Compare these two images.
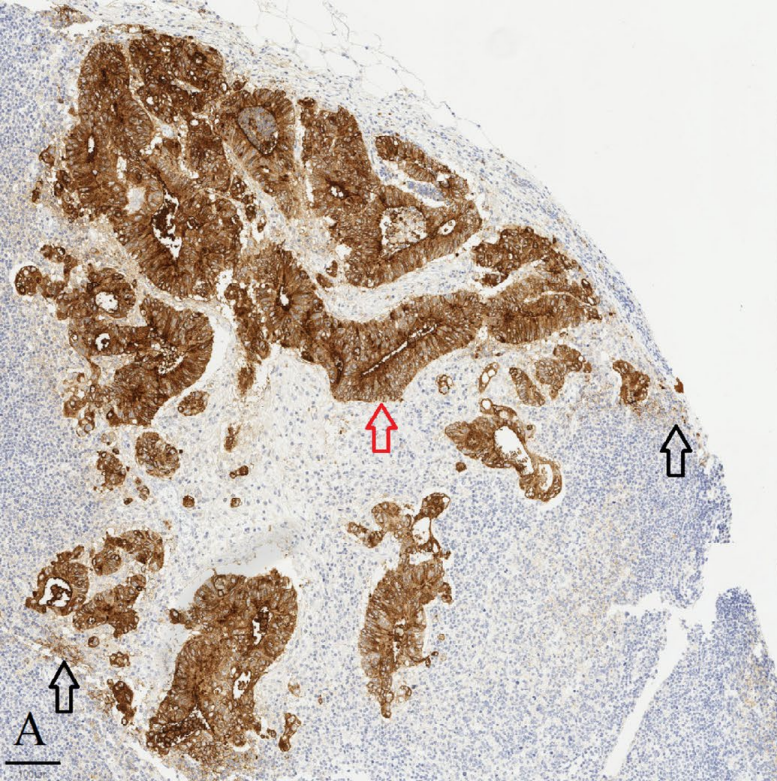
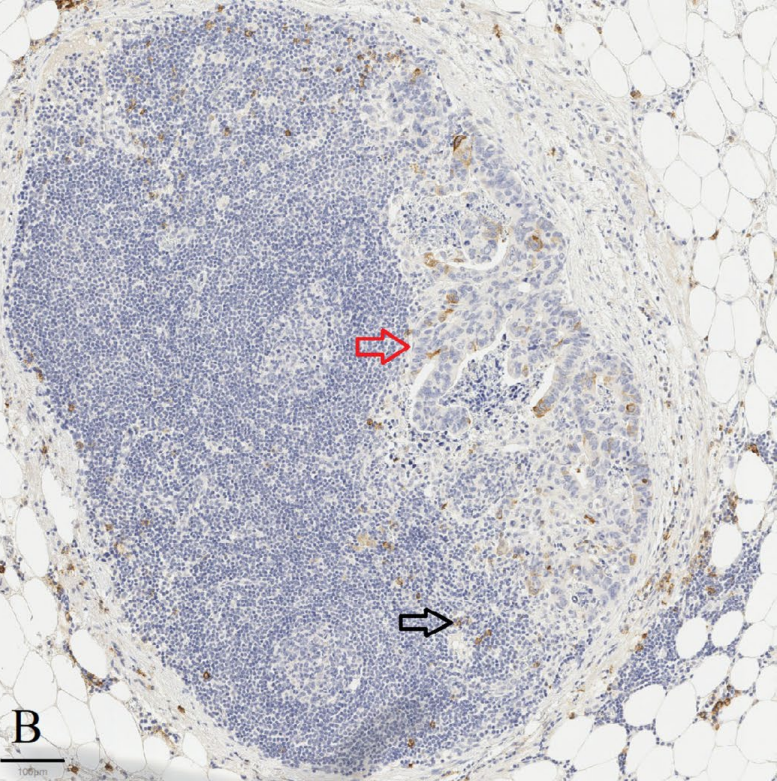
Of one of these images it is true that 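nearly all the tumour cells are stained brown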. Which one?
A: the first image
